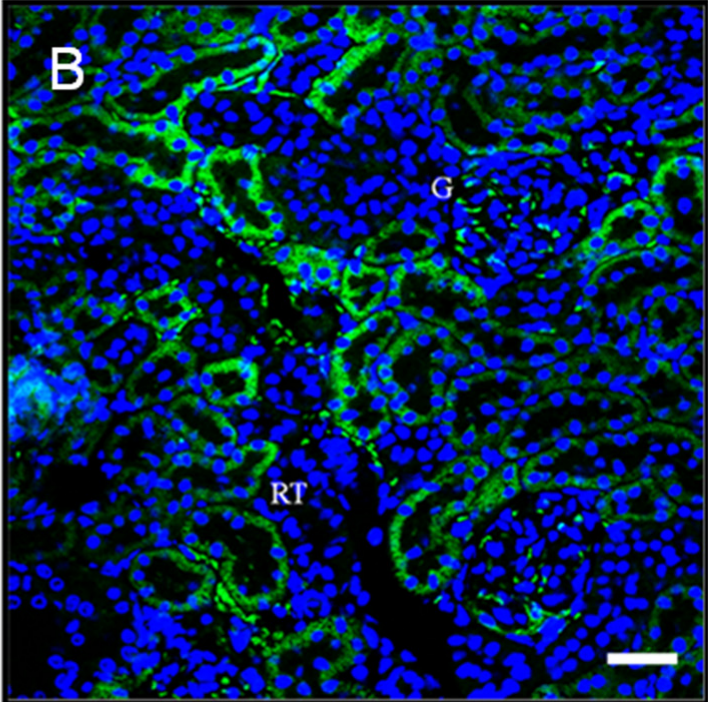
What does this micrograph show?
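A section of kidney cortex shows closely packed renal tubules cut across, each a ring of epithelial cells around a central lumen. Green fluorescence fills the cytoplasm of the tubular epithelial cells, brightest along the lining of the tubes. Their blue, rounded to oval nuclei sit in a single layer in the tubular wall. Among the tubules lies a rounded glomerulus, a tuft crowded with blue nuclei and only a few fine green strands.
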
